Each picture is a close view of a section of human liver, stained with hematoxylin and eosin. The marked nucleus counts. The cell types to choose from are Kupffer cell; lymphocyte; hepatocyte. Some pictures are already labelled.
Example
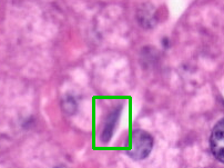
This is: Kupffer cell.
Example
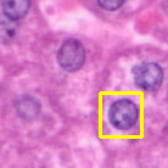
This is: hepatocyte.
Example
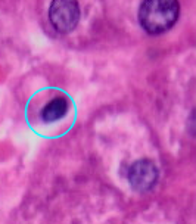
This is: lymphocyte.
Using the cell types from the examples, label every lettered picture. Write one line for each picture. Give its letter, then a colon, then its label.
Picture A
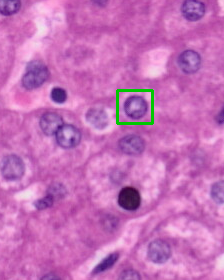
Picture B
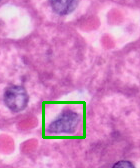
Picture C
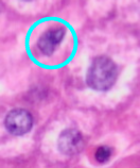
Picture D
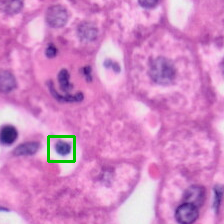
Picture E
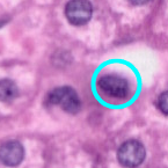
A: hepatocyte.
B: Kupffer cell.
C: Kupffer cell.
D: lymphocyte.
E: Kupffer cell.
